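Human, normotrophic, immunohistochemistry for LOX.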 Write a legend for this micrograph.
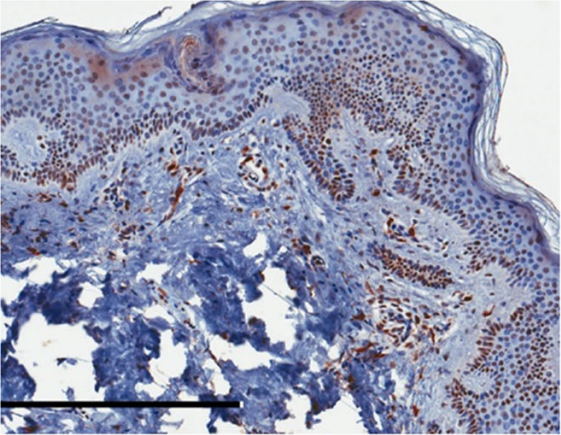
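This is a section of scar tissue covered by a stratified squamous epidermis, with a flattened surface layer on top. Many nuclei in the lower layers of the epidermis are brown, most clearly where it projects down into the dermis. The dermis beneath contains many elongated and rounded cells, many with brown nuclei. Small vessel-like structures lie among these cells.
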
